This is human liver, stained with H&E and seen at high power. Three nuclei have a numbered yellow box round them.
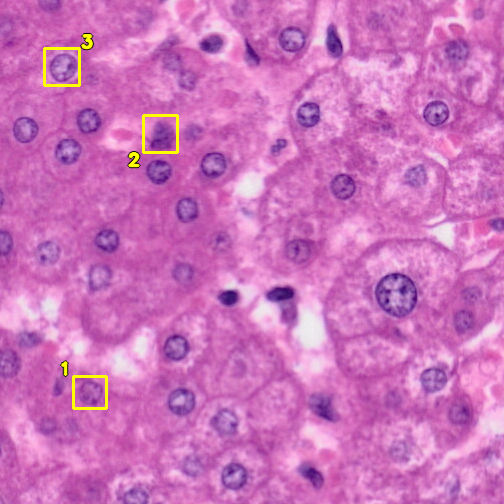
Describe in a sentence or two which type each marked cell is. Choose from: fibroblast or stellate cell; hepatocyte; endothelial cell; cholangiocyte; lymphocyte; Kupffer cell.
Cells 1 and 3 are hepatocytes. Cell 2 is an endothelial cell.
